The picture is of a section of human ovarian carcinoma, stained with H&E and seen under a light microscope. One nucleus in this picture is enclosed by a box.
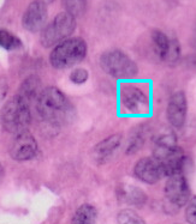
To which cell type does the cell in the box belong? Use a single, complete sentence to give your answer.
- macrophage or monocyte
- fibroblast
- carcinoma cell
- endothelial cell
The classification of the cell in the box is as an endothelial cell.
